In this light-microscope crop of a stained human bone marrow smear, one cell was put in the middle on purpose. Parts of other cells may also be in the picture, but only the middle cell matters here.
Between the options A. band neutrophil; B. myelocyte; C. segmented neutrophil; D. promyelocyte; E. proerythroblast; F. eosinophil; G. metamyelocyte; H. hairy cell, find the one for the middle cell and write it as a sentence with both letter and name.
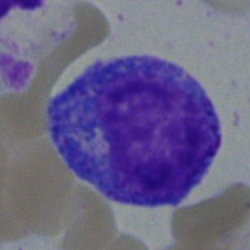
It is a promyelocyte that occupies the centre of the crop, so option D is correct.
